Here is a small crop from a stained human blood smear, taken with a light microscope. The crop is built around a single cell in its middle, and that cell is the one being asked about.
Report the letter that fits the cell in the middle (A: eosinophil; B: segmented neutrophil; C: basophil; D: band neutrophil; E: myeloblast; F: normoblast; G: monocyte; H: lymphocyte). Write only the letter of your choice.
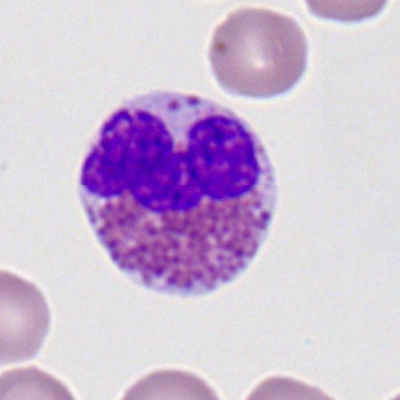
A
